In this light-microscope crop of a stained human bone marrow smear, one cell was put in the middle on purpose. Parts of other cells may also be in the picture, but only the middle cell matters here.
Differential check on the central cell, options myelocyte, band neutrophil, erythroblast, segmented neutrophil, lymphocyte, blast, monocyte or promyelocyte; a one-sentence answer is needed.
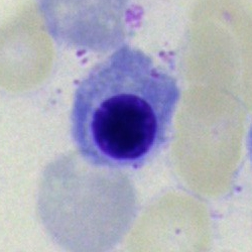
The cell that lies at the centre of the crop is an erythroblast.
